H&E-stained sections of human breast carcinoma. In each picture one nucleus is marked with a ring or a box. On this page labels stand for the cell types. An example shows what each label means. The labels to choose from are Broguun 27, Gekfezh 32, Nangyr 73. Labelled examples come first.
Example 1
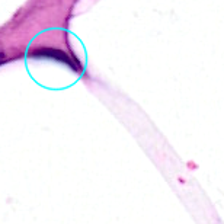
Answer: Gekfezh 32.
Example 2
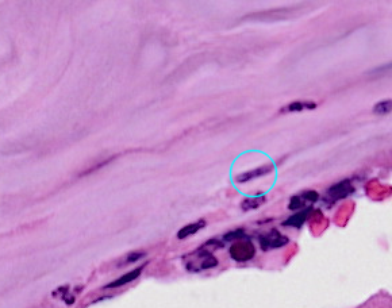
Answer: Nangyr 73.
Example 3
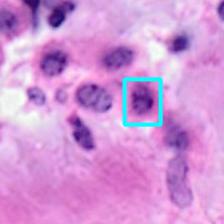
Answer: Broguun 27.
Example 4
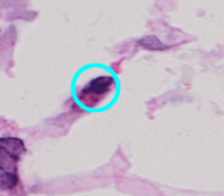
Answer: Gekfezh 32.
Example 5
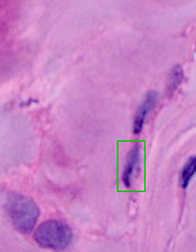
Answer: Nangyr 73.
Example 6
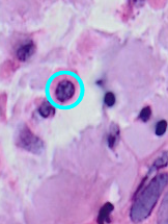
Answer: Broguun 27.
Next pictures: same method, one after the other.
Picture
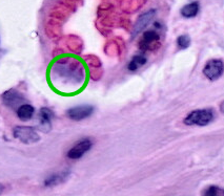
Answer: Gekfezh 32.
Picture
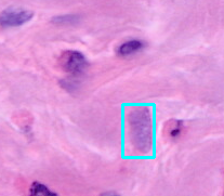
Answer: Nangyr 73.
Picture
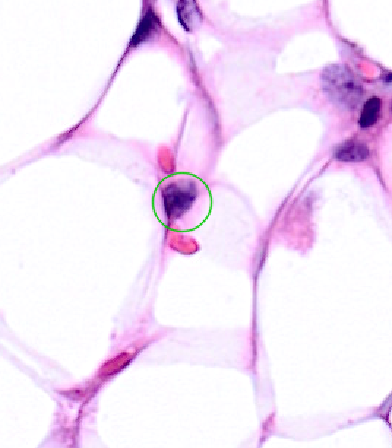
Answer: Gekfezh 32.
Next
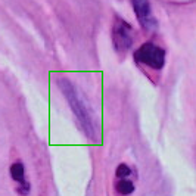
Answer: Nangyr 73.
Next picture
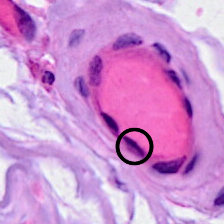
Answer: Gekfezh 32.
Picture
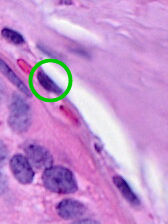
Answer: Gekfezh 32.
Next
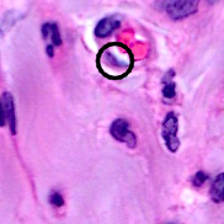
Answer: Gekfezh 32.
